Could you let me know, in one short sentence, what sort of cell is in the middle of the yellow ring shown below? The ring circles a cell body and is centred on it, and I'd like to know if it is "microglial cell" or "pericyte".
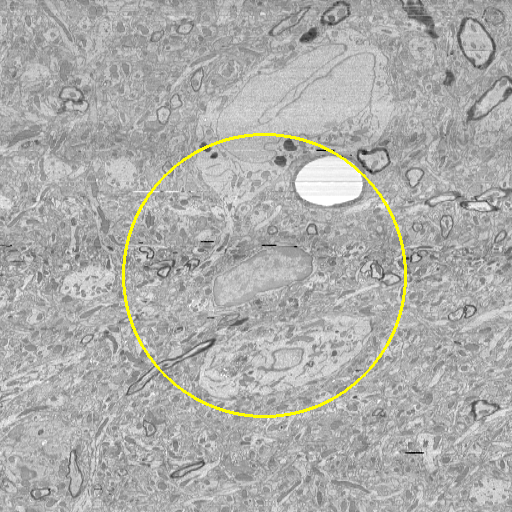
The ring circles the cell body of a microglial cell.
